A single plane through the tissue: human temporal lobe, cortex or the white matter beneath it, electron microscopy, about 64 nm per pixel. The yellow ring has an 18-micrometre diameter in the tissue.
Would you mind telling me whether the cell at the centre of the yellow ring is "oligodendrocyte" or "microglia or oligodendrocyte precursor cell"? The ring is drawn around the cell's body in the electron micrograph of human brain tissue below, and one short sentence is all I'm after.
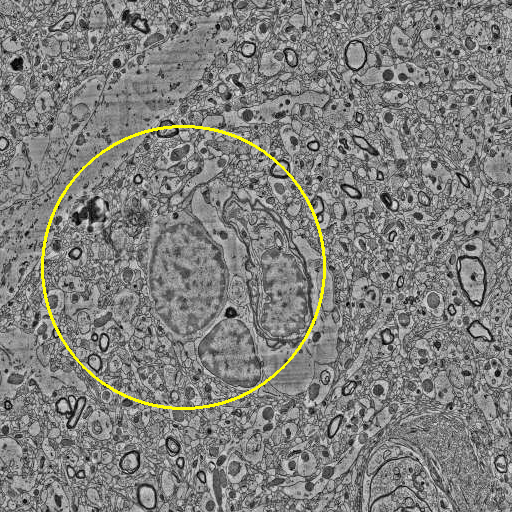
In the centre of the ring lies an oligodendrocyte.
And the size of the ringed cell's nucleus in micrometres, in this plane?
In this plane, about 7 micrometres in length and 5 in width.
